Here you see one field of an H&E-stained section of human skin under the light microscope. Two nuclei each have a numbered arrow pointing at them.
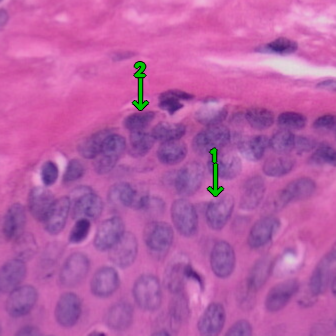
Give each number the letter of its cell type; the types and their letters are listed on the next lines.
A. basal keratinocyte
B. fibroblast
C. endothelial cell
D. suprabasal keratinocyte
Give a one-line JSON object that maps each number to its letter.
{"1": "D", "2": "A"}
